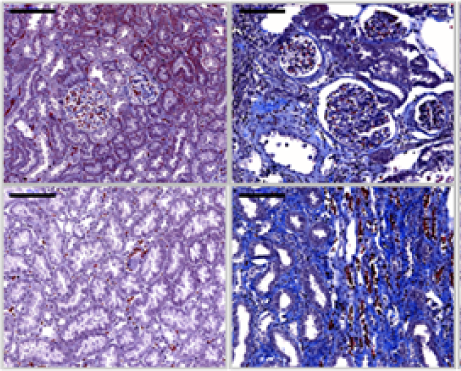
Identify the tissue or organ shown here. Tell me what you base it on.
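Kidney. Round glomeruli are visible in the upper images. The tissue is packed with tubule cross-sections.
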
